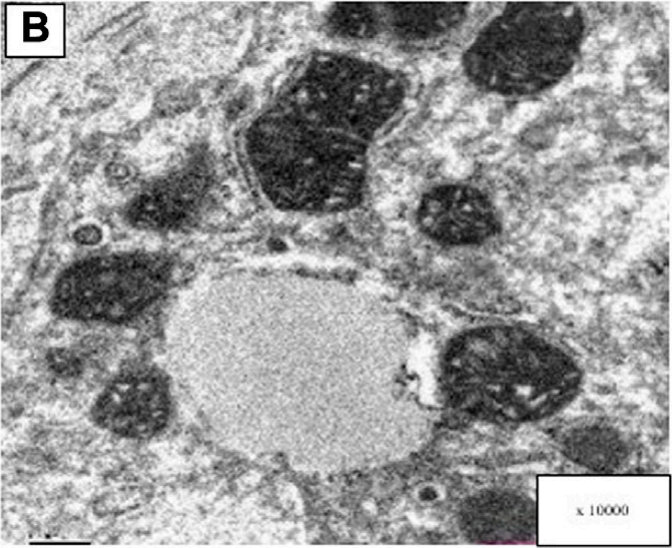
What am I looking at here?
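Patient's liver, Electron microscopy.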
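This electron micrograph shows part of the cytoplasm of a hepatocyte, with a large round lipid droplet of pale, even, finely granular density at the centre. Several dense, dark mitochondria of round to oval shape lie around it, and some show visible cristae. The surrounding cytoplasm appears pale and loosely textured, containing scattered membranous profiles.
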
